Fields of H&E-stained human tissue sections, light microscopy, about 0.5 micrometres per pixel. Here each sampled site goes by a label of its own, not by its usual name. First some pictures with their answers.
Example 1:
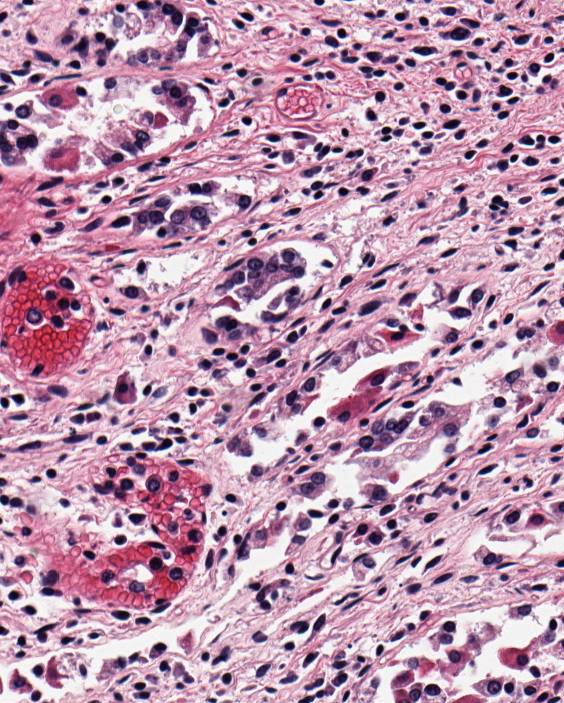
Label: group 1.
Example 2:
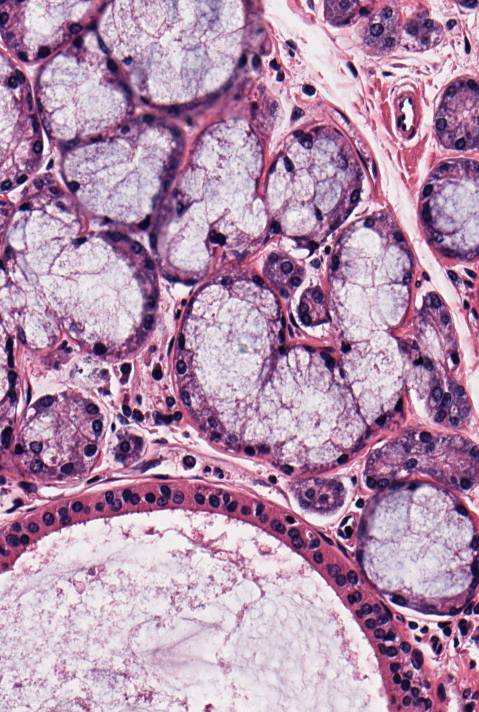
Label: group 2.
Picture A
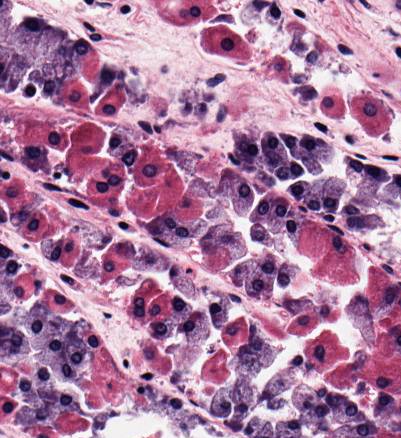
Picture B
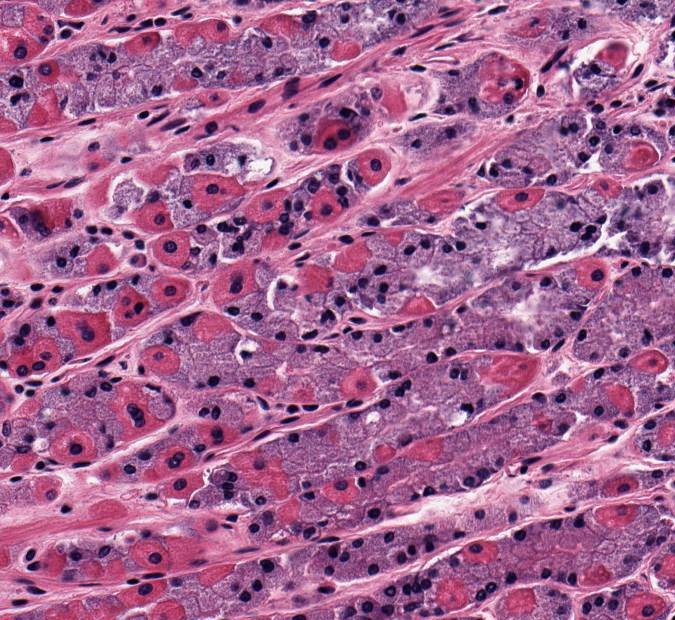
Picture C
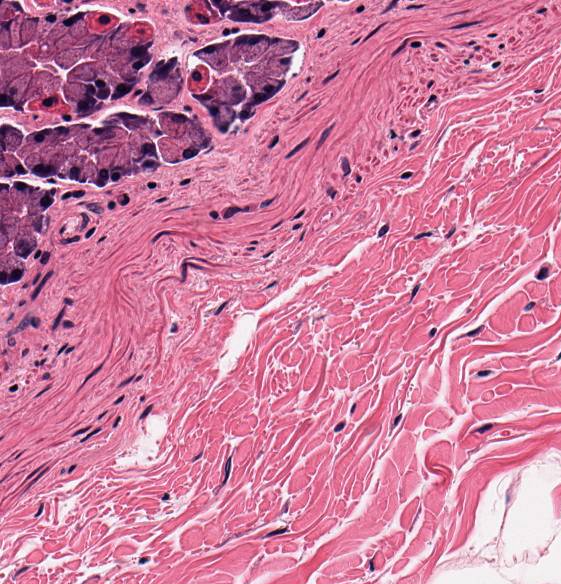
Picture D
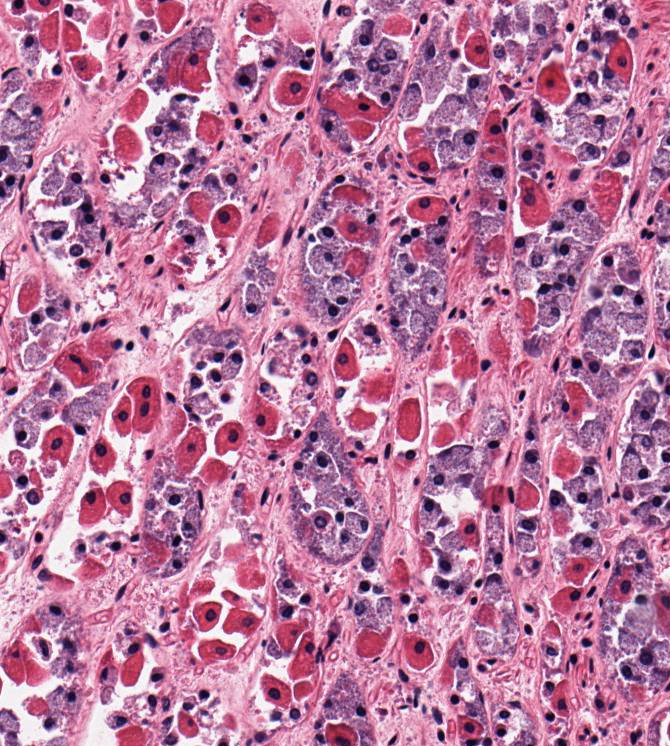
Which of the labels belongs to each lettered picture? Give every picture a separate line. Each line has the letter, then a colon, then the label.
A: group 1.
B: group 1.
C: group 1.
D: group 1.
